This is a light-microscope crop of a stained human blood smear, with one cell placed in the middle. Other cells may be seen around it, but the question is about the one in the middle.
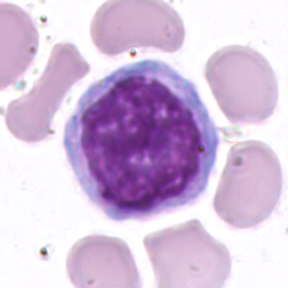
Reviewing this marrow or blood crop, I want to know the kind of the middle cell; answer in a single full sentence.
The central cell, amid any neighbouring cells, is a plasma cell.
